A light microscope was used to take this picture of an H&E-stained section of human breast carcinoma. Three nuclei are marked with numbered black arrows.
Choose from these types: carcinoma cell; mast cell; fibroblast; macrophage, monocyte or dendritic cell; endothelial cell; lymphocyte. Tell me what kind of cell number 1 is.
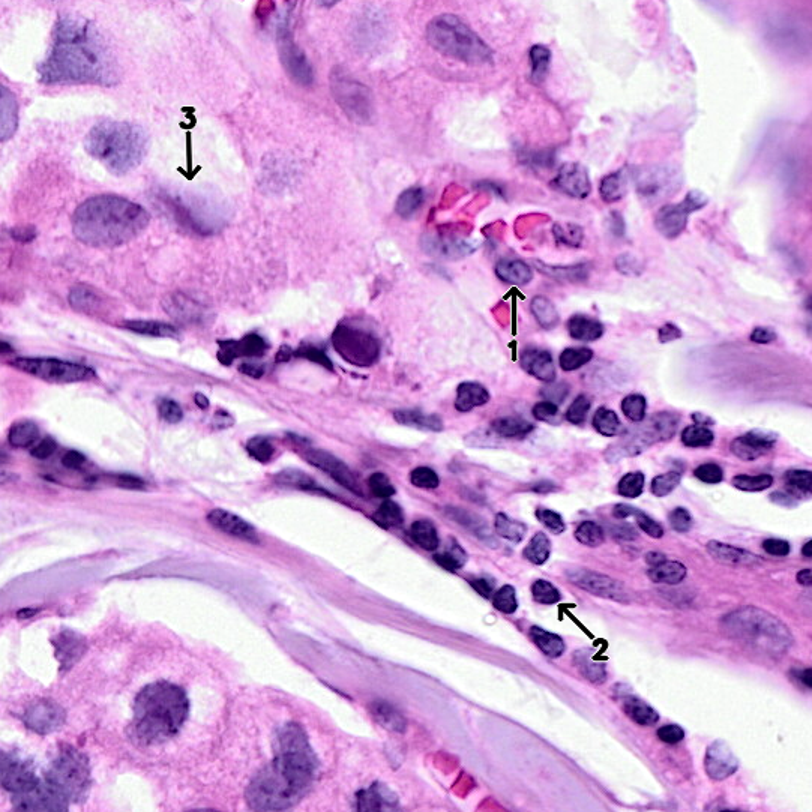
endothelial cell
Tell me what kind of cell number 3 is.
carcinoma cell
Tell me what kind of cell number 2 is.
lymphocyte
